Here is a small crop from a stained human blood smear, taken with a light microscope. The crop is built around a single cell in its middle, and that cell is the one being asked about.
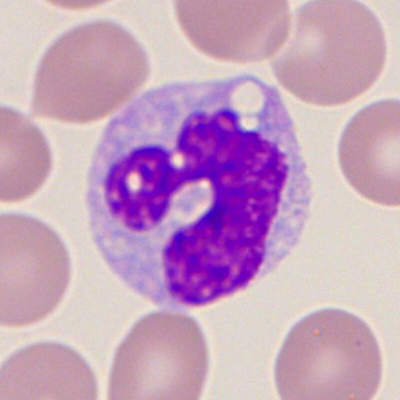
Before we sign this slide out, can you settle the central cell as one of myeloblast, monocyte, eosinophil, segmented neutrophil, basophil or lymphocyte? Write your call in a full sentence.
The middle cell in this particular crop is a monocyte.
